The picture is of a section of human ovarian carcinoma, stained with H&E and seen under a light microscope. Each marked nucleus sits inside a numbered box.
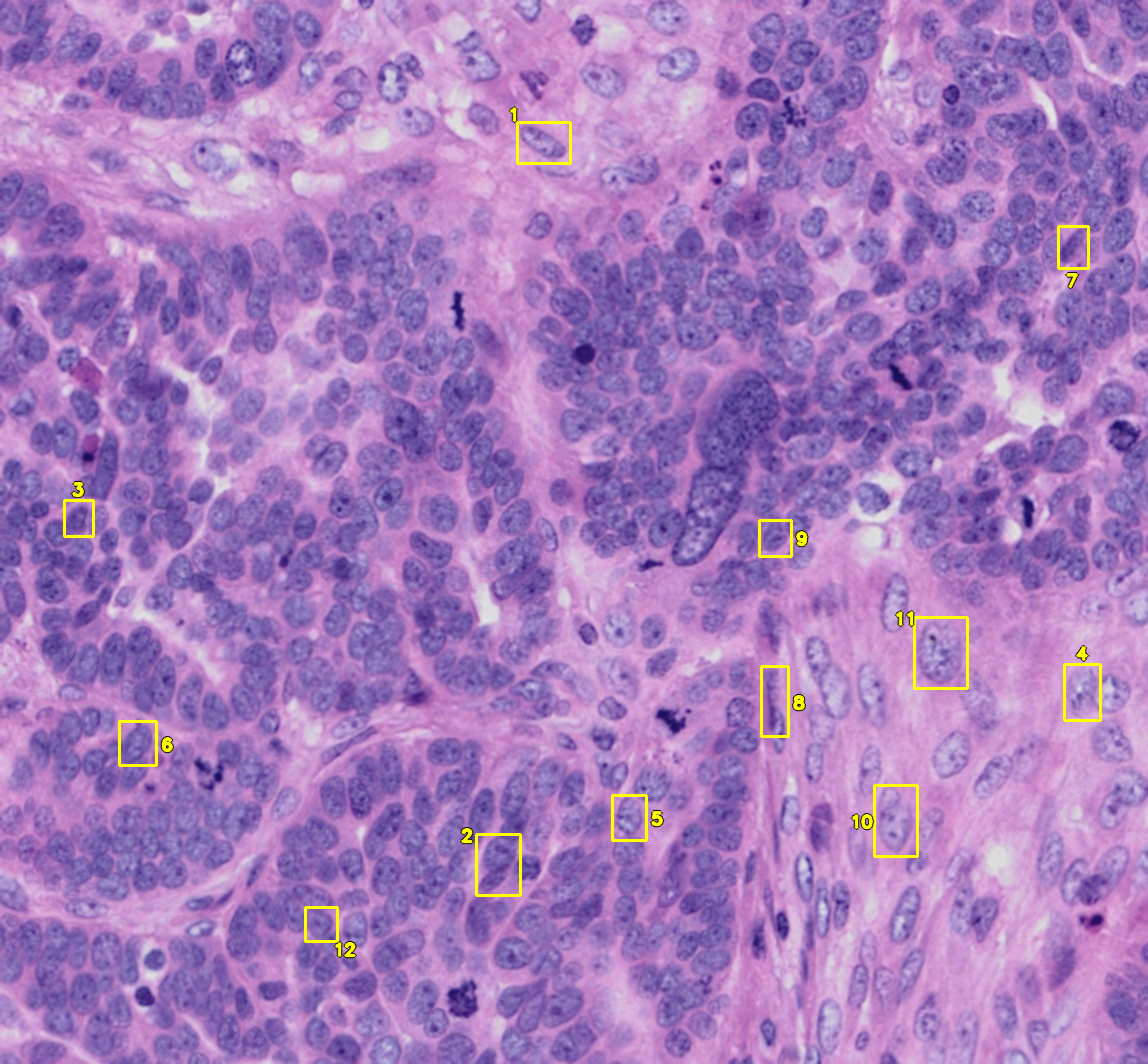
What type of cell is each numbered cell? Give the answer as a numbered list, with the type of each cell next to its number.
1. fibroblast
2. carcinoma cell
3. carcinoma cell
4. fibroblast
5. carcinoma cell
6. carcinoma cell
7. carcinoma cell
8. fibroblast
9. carcinoma cell
10. fibroblast
11. fibroblast
12. carcinoma cell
